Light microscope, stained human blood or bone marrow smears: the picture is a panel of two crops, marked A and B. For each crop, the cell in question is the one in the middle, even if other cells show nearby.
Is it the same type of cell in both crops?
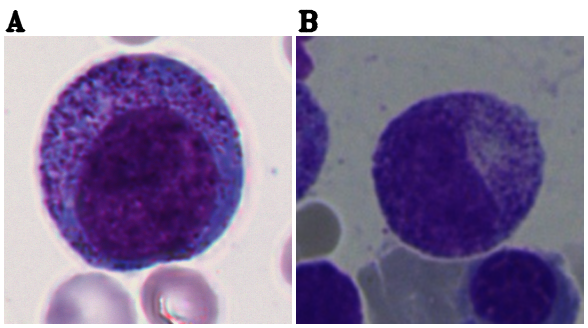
no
